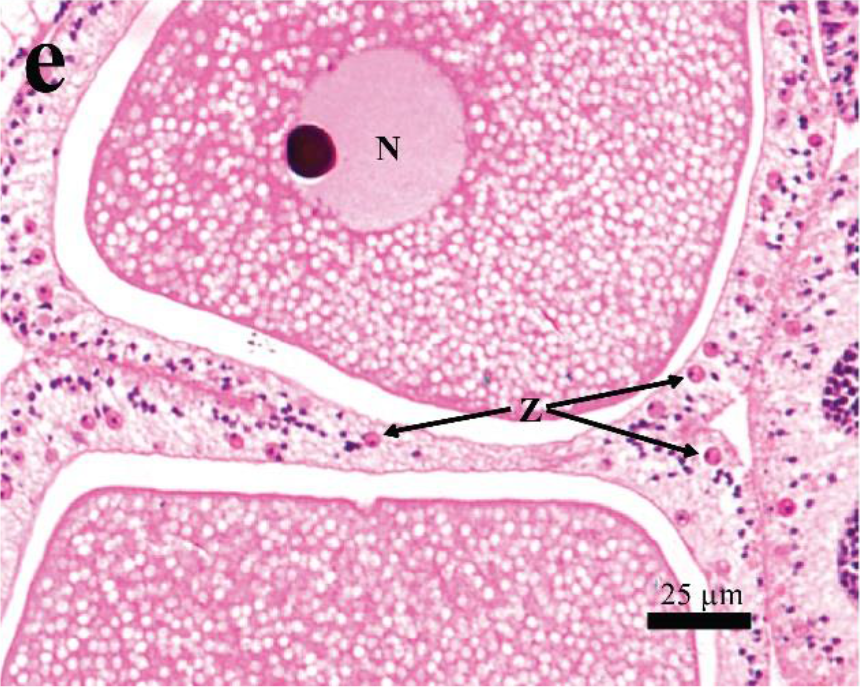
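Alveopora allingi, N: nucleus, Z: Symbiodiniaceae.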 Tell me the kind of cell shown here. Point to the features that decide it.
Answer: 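Very large cells filled with evenly vacuolated, foamy pink cytoplasm. A large round pale nucleus with a dark nucleolus in the upper cell. Smooth, intact cell margins. So: mature oocytes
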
